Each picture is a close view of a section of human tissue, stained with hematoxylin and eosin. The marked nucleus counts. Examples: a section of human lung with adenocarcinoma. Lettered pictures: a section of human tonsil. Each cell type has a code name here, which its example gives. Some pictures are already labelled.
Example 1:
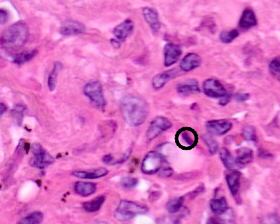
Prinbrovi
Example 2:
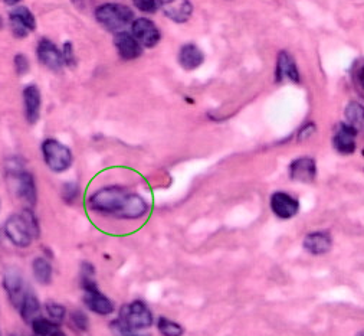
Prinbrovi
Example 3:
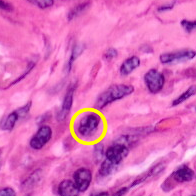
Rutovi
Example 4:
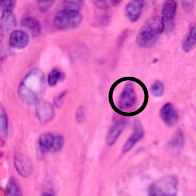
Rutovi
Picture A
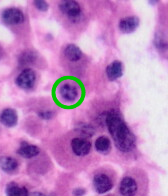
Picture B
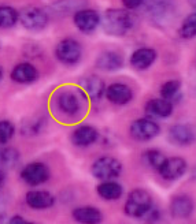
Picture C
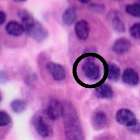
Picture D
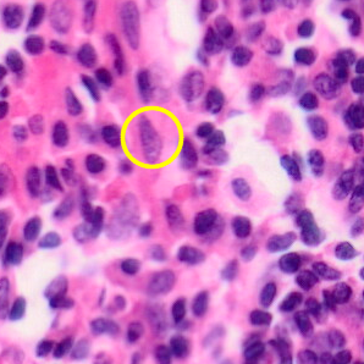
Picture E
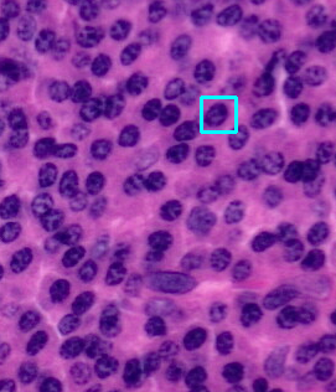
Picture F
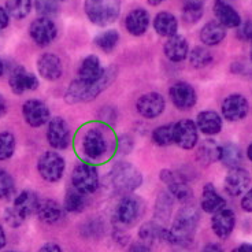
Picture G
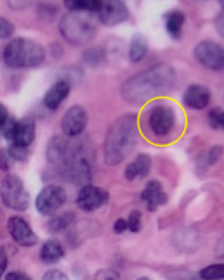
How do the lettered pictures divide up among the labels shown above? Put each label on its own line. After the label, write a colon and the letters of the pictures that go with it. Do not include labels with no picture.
Prinbrovi: D, G
Rutovi: A, B, C, E, F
